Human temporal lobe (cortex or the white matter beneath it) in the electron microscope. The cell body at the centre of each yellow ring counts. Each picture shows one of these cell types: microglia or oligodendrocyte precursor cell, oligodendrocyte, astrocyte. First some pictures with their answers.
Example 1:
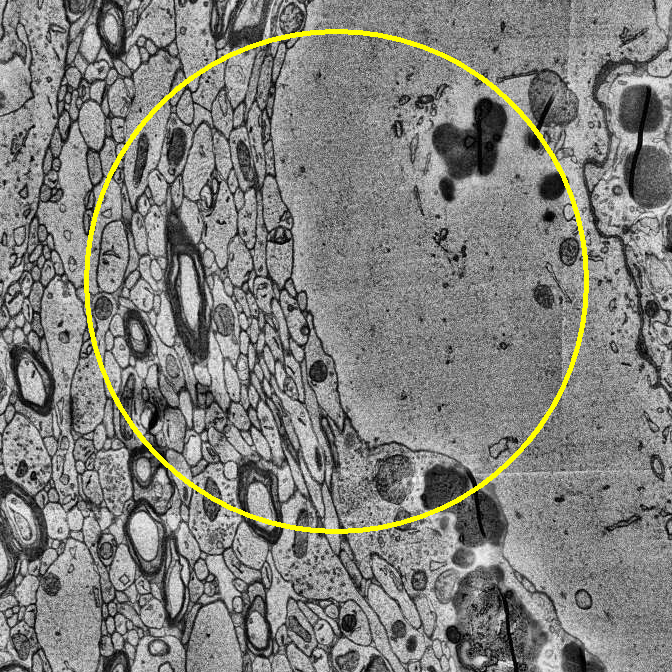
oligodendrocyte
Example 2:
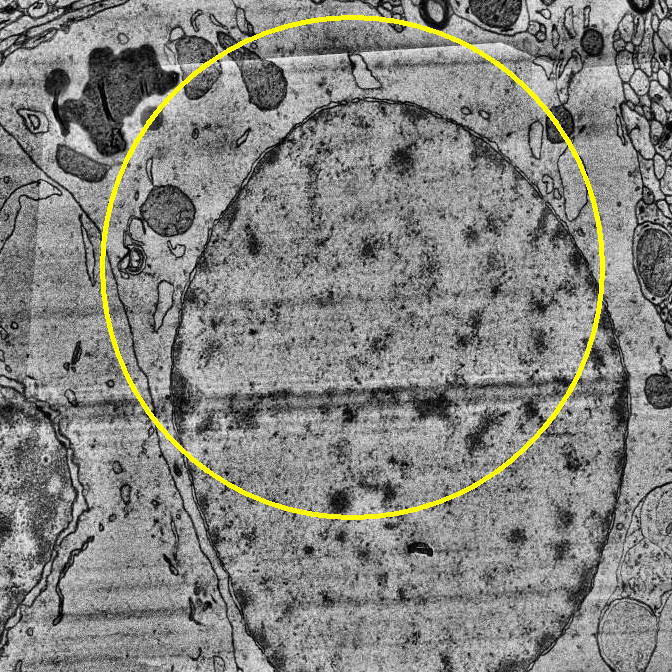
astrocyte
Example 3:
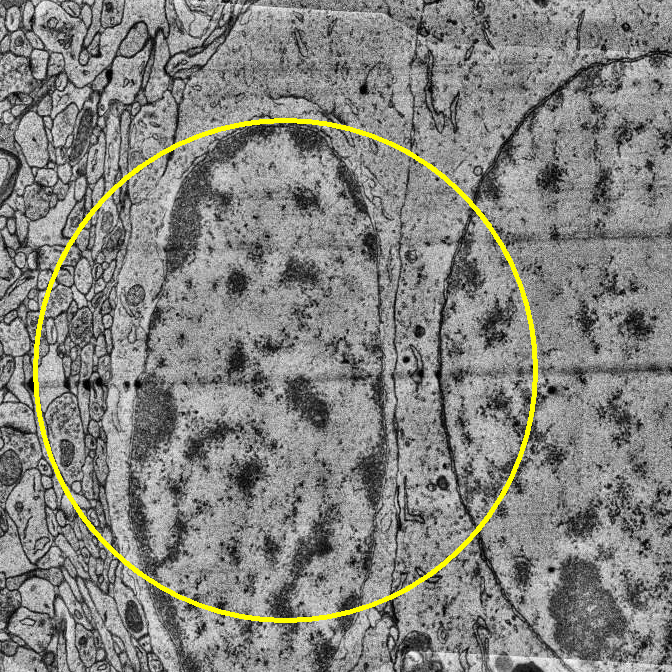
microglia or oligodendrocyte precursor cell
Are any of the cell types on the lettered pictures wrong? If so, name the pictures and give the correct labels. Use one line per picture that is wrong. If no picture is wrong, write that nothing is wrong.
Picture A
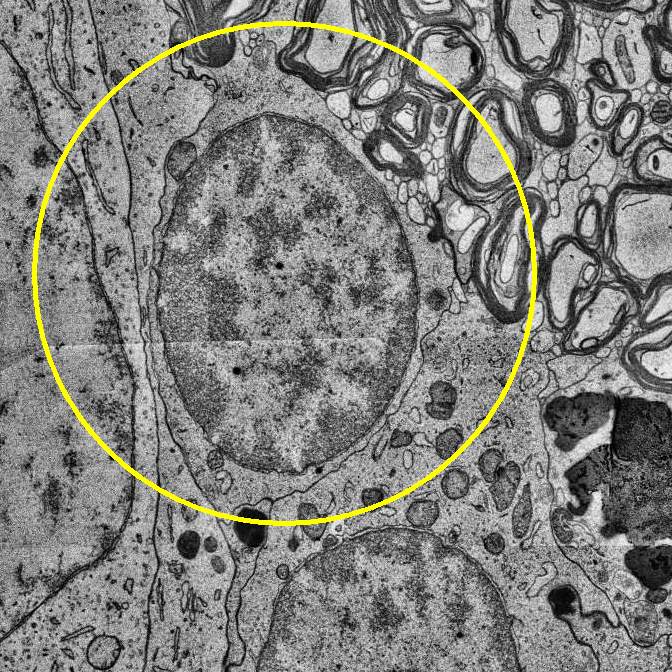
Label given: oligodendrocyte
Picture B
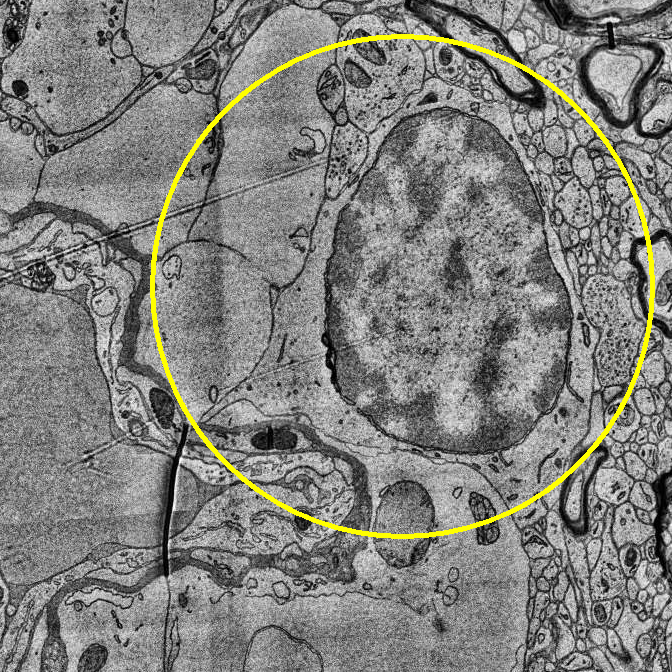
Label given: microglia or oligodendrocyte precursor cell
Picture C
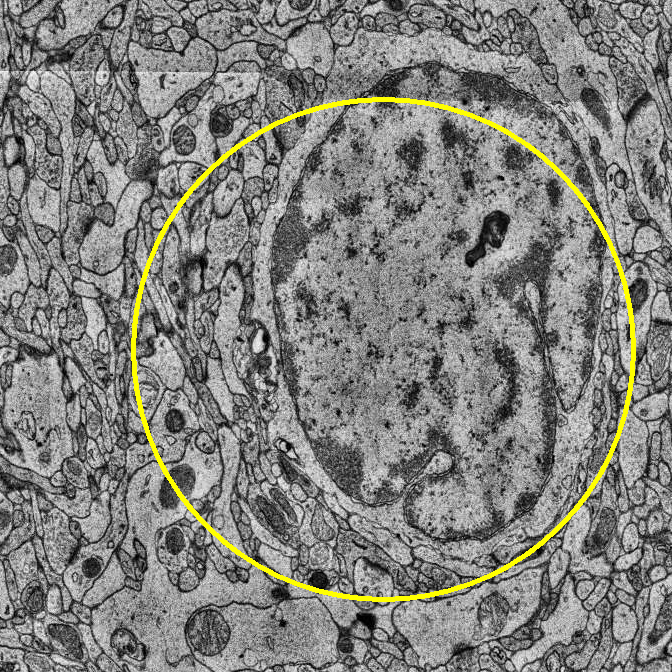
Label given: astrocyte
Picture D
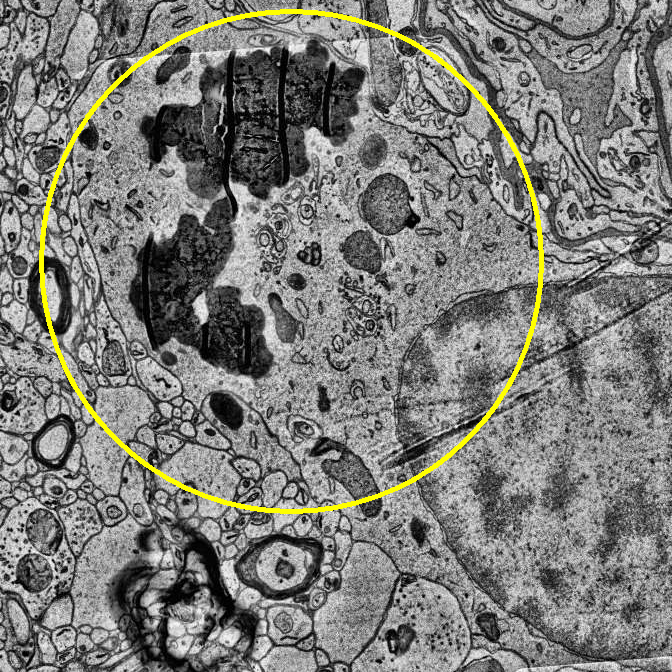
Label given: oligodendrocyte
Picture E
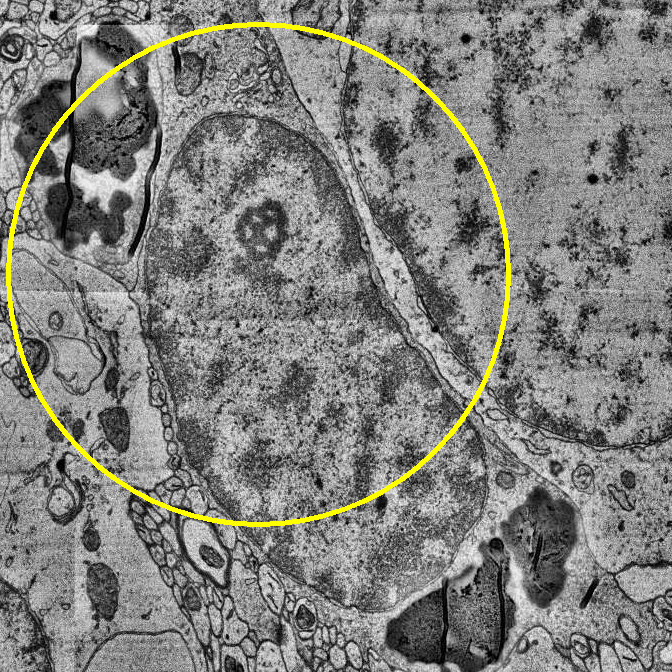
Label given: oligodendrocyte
C: microglia or oligodendrocyte precursor cell, not astrocyte
E: microglia or oligodendrocyte precursor cell, not oligodendrocyte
